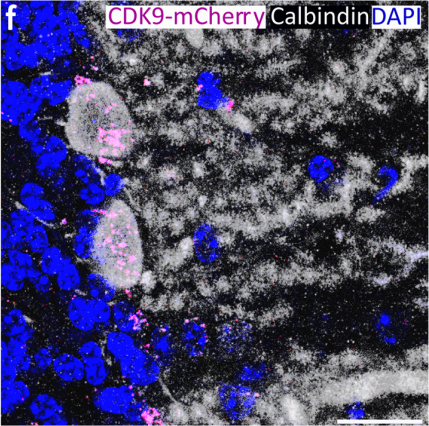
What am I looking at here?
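Two large oval cell bodies, stained white, sit in a row between a band of small, densely packed blue nuclei on the left, the granule cell layer, and a region on the right where white branching dendrites run across with few scattered nuclei, the molecular layer. The Purkinje somata are far larger than the neighbouring nuclei and contain clusters of magenta puncta within the cell body. Thick white dendritic trunks extend from the cell body level toward the molecular layer. Scattered small magenta dots also lie among the granule cell nuclei.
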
